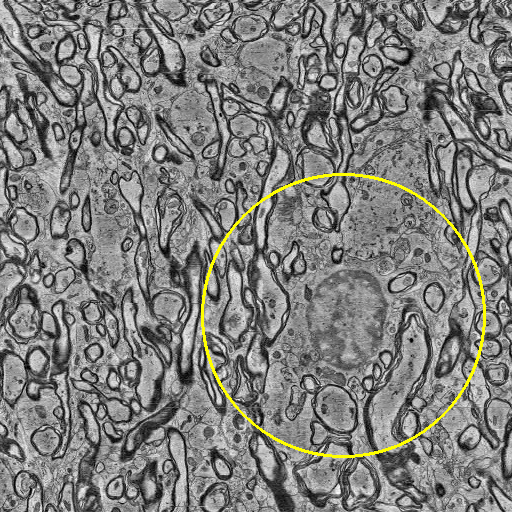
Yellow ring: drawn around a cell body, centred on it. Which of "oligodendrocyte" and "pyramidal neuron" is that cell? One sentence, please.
That cell body is from an oligodendrocyte.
